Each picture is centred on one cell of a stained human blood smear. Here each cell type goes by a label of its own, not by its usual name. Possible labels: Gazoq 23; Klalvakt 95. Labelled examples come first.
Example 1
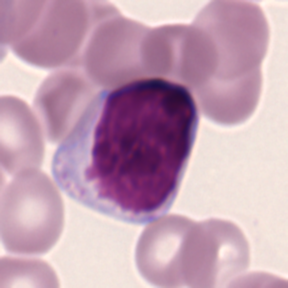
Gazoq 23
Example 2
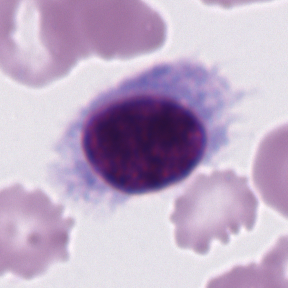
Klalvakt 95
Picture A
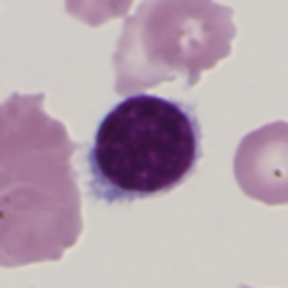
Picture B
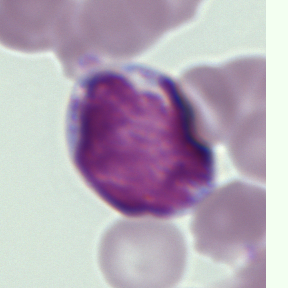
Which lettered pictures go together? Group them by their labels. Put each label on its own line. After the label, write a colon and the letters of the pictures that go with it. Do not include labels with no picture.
Gazoq 23: B
Klalvakt 95: A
